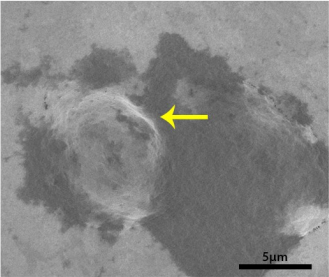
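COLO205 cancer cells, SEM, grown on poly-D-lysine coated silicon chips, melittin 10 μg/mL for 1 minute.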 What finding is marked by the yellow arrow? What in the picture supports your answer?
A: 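The cell appears flattened and collapsed rather than rounded. Dark, irregular material spreads widely over the substrate around the cell. The cell outline is faint and poorly defined. The answer: cellular and membrane damage.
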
